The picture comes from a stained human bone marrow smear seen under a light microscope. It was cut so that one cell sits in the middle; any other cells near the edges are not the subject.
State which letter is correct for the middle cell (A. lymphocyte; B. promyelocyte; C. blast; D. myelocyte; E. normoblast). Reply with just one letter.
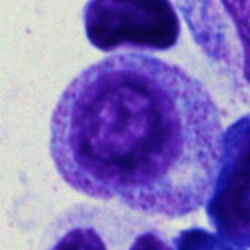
D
